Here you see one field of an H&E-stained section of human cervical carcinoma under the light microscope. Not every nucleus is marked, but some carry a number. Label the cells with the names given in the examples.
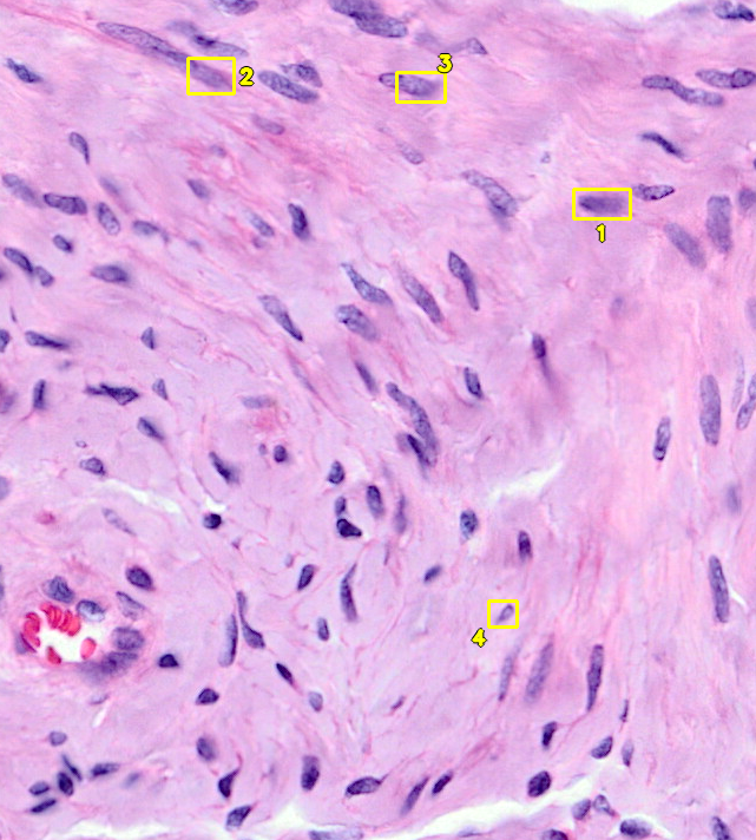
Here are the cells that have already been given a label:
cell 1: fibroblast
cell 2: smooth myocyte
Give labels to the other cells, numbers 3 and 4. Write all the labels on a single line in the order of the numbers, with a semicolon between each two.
fibroblast; fibroblast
